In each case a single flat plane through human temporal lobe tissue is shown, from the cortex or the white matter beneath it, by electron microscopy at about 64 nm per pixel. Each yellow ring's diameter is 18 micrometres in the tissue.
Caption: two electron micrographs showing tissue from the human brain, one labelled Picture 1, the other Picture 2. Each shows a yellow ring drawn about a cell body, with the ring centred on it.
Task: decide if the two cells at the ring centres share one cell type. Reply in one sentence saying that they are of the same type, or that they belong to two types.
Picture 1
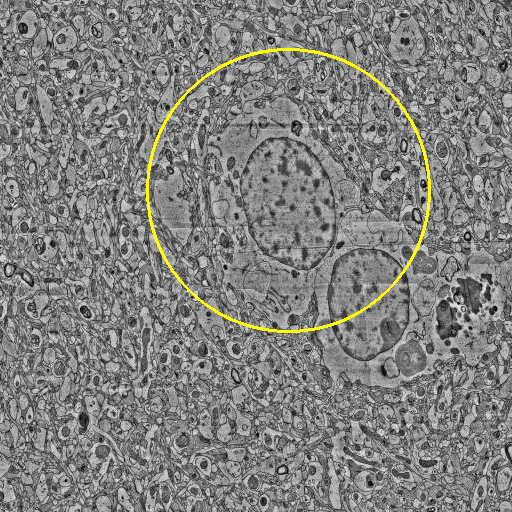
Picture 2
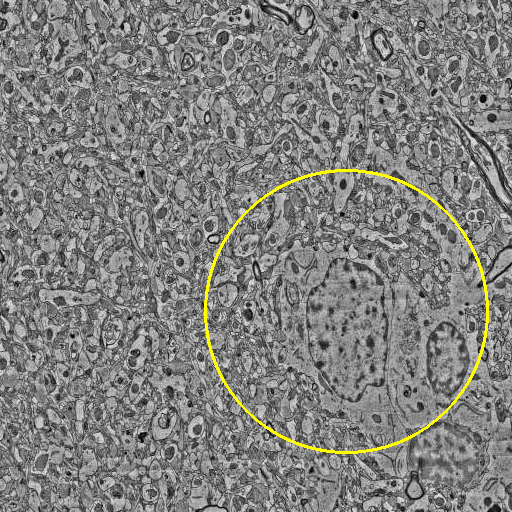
The cells at the ring centres in Picture 1 and Picture 2 are of the same type.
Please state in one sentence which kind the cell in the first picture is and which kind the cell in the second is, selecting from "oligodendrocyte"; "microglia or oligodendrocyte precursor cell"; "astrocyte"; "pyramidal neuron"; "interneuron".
Both the first and the second picture show an astrocyte in the ring.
